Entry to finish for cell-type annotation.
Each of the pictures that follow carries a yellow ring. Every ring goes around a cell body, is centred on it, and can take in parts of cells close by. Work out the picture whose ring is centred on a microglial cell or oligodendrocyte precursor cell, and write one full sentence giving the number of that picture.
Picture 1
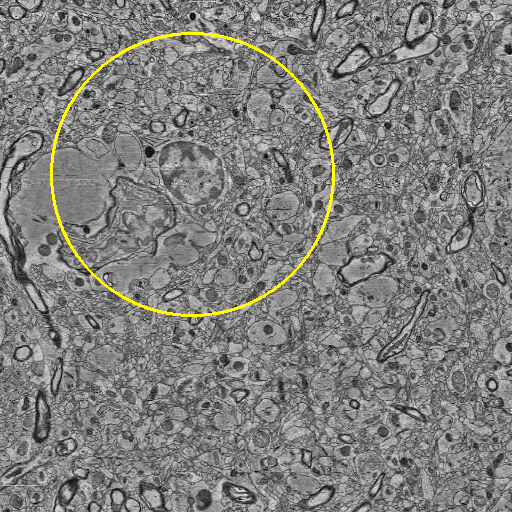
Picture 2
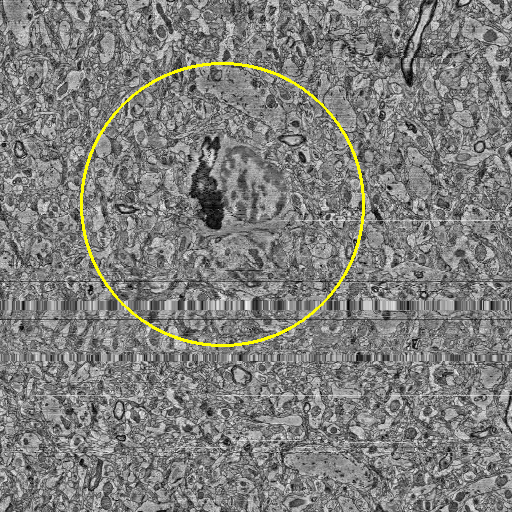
The cell at the heart of the ring in picture 1 matches the request.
